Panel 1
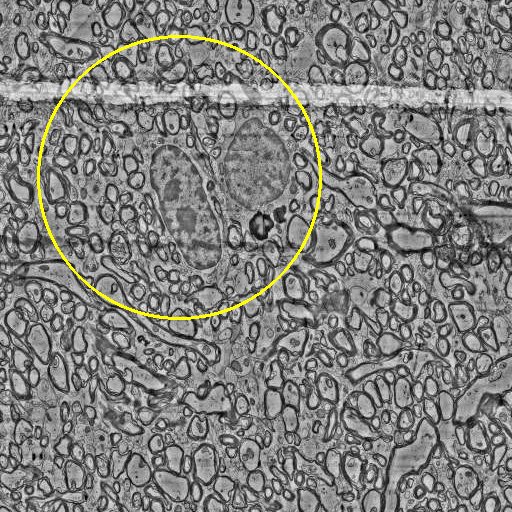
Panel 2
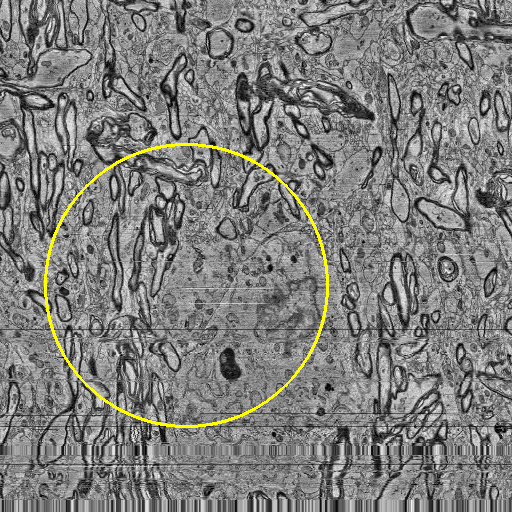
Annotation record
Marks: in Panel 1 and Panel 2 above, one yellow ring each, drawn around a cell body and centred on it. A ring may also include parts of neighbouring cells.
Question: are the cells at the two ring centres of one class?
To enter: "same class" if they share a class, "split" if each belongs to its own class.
split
